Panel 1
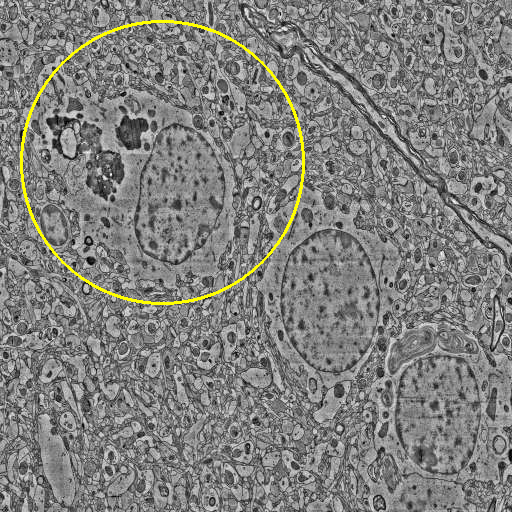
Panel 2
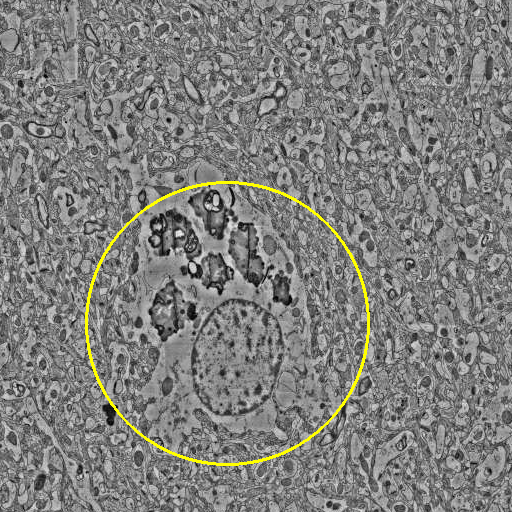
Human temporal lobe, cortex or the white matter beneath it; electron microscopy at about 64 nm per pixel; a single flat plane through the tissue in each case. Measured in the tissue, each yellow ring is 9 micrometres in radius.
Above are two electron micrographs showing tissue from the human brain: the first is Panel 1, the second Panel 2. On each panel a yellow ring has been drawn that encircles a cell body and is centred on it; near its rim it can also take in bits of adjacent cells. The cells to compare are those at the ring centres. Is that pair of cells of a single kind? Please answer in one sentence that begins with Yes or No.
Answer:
Yes, the ring-centred cells of Panel 1 and Panel 2 belong to one kind.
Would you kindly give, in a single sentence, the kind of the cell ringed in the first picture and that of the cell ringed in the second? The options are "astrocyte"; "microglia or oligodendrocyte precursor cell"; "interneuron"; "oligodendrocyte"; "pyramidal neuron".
In the first picture and in the second, the ring is centred on an astrocyte.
